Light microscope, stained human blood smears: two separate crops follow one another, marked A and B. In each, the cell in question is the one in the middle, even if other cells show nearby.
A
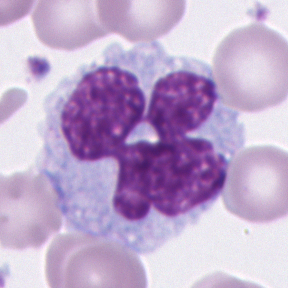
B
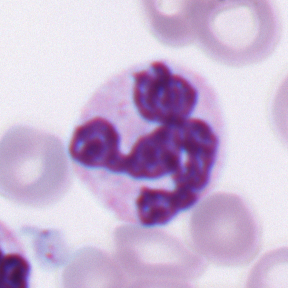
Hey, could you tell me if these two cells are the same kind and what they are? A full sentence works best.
No, crop A shows a monocyte and crop B a segmented neutrophil.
